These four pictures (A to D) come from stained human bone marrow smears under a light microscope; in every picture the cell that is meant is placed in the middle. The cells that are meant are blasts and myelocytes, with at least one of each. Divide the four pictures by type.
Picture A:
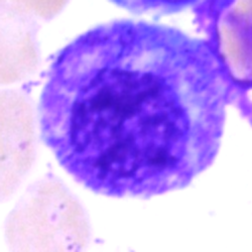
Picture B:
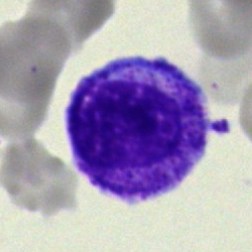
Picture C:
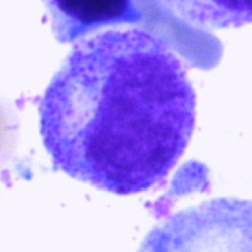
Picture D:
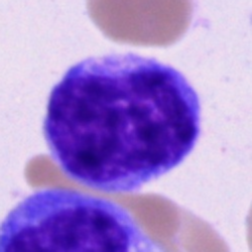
A: myelocyte
B: myelocyte
C: myelocyte
D: blast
